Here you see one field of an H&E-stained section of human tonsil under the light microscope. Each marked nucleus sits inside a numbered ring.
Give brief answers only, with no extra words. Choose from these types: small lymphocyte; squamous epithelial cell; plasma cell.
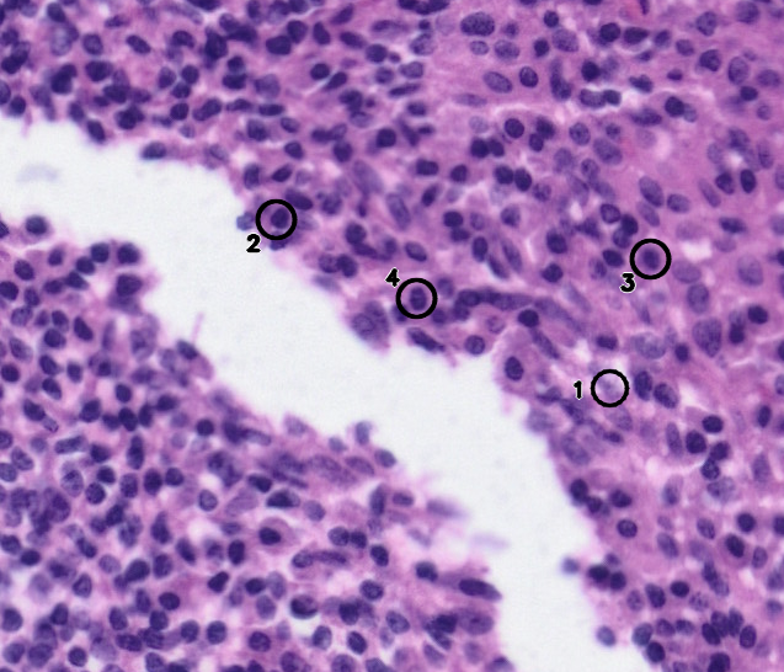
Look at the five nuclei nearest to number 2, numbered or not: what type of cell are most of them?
squamous epithelial cell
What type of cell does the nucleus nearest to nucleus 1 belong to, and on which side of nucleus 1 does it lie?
a squamous epithelial cell; above and to the left of nucleus 1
